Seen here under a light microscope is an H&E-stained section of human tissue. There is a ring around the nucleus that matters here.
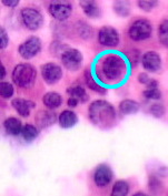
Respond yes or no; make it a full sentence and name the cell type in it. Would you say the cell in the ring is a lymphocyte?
No, the cell in the ring is a plasma cell in this section, not a lymphocyte.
